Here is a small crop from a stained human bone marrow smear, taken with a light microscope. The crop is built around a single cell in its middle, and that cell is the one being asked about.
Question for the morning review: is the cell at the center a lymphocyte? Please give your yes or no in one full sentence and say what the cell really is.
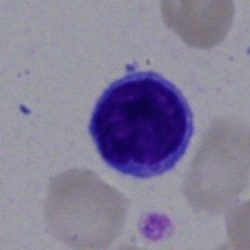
Yes, the cell found at the centre of the crop is a lymphocyte.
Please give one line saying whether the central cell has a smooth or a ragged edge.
Edge check done: smooth outline, no projections present.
